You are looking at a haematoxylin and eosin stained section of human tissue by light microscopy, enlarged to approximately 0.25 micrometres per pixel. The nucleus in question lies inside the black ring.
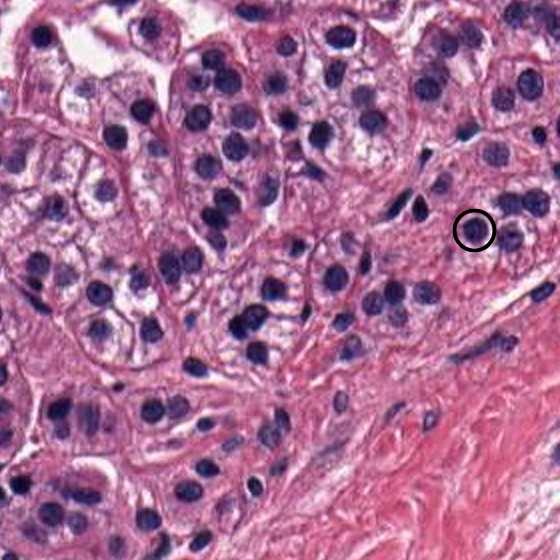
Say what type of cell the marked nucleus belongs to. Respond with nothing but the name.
adrenal cortical cell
